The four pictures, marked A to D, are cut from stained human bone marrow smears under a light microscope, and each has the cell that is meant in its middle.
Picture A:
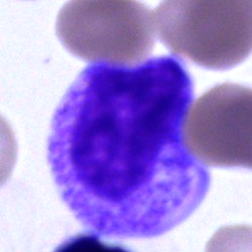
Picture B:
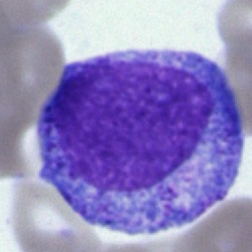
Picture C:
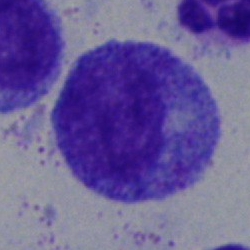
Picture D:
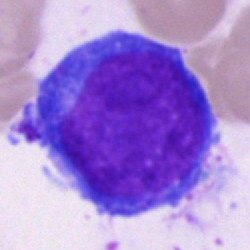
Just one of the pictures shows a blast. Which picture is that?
D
